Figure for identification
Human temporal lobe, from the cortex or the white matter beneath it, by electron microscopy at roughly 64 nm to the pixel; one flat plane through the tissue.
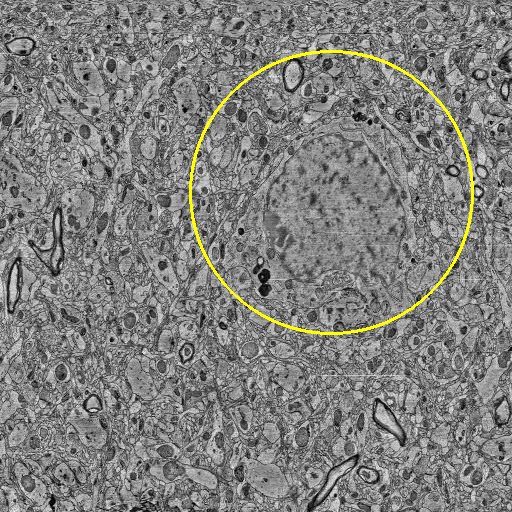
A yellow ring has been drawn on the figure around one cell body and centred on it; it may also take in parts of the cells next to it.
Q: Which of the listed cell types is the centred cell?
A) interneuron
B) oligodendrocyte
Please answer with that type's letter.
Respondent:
A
